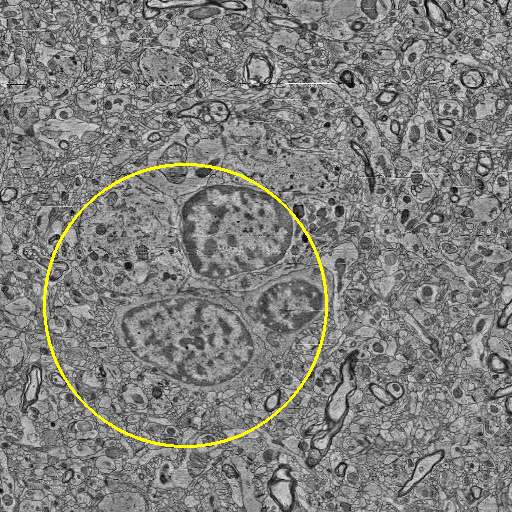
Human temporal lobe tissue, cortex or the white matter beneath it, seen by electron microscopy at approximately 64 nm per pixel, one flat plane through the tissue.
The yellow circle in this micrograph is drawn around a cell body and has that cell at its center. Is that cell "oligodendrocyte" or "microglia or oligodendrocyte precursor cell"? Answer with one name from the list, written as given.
oligodendrocyte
